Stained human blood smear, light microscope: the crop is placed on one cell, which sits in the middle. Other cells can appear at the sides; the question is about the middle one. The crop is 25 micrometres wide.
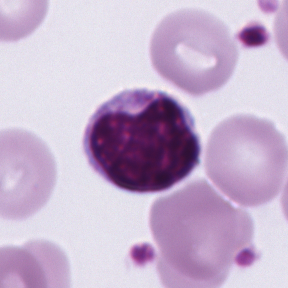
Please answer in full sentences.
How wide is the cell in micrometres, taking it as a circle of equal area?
The cell is about 10 micrometres across.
